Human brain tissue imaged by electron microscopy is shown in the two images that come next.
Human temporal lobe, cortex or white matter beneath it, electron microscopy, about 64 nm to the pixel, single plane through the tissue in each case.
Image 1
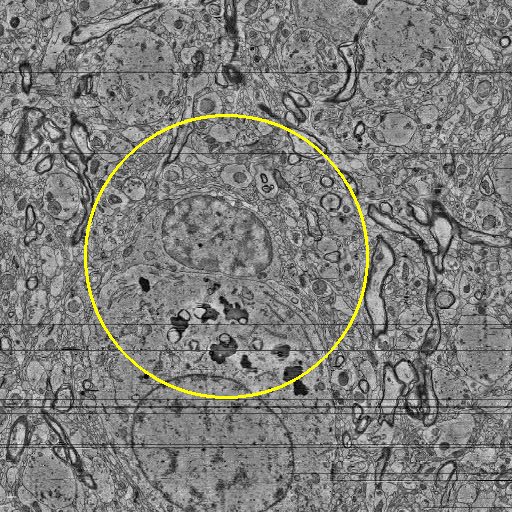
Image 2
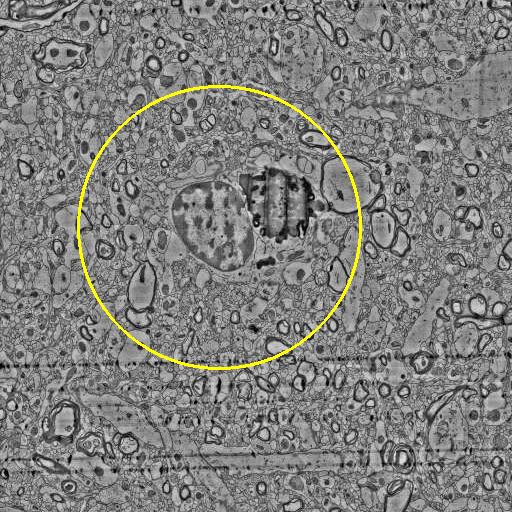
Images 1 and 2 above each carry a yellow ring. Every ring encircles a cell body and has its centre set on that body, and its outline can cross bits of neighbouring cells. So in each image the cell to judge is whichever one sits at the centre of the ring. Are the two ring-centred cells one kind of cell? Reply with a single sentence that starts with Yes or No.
No, in Image 1 and Image 2 the cells at the centres of their rings fall into two types.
